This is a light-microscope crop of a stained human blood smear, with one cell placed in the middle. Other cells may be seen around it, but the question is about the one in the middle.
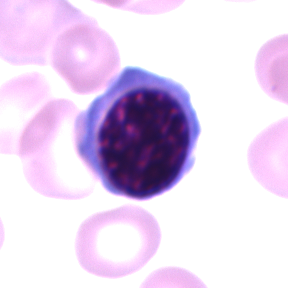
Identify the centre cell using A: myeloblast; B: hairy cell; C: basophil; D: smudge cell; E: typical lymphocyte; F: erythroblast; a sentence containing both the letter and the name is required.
This one is option F, since the cell at the center is an erythroblast.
